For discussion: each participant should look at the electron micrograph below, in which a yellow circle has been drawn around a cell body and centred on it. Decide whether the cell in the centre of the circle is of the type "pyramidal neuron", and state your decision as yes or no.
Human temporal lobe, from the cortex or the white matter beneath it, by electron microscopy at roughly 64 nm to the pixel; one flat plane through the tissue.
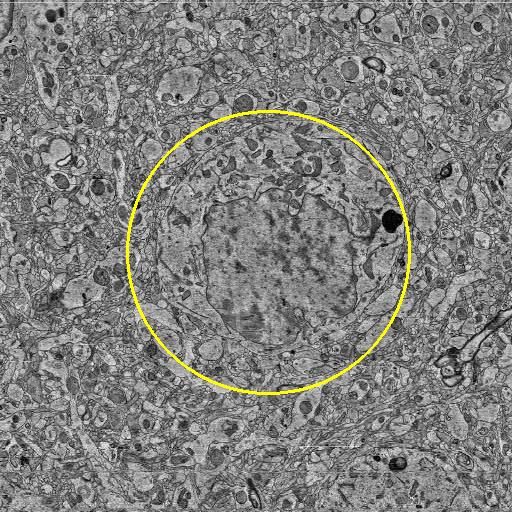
no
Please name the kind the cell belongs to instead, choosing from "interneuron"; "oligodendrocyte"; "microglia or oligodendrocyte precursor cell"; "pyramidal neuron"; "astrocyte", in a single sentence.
The cell at the ring centre is an interneuron.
